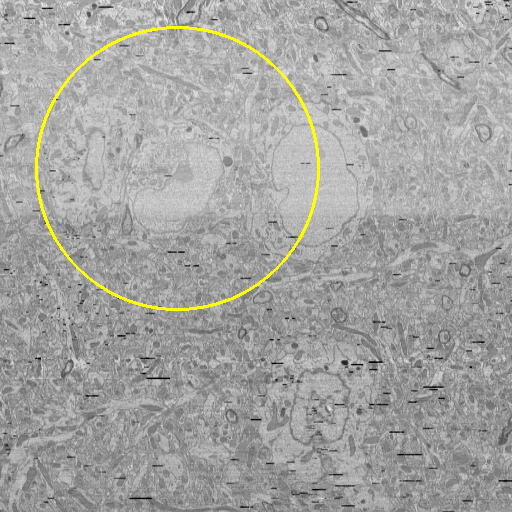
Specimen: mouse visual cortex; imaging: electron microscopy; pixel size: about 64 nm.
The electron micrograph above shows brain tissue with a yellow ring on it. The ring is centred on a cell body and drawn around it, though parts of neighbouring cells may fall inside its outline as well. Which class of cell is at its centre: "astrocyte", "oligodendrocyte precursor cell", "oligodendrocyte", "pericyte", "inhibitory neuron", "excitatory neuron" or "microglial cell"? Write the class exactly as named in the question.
oligodendrocyte precursor cell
